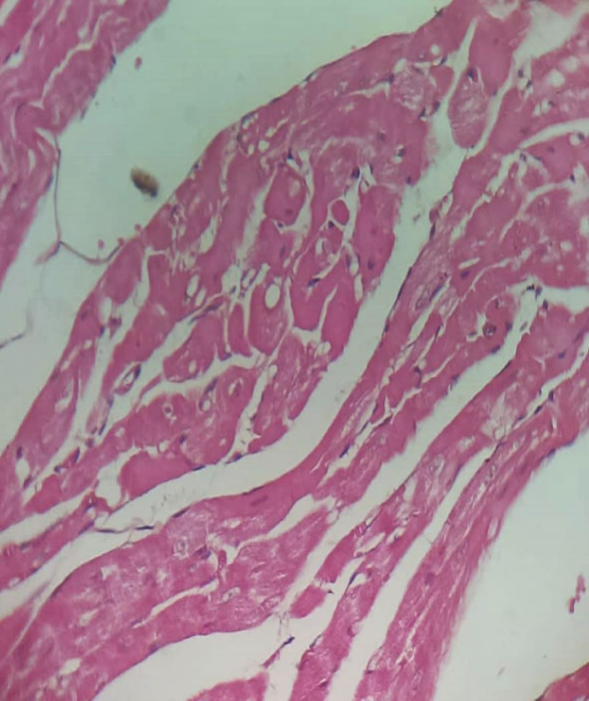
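Heart muscle is seen as bundles of cardiac muscle fibres. The fibres have pink cytoplasm, and some branch and join their neighbours. The bundles run diagonally across the field in parallel bands. Wide, clear, unstained spaces separate the bundles, and narrower clefts separate the single fibres within them. Small, dark purple, elongated or oval nuclei lie within the fibres and along their edges. Some fibres show pale, rounded clear areas within their cytoplasm. Parts of the cytoplasm look finely granular rather than evenly pink.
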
